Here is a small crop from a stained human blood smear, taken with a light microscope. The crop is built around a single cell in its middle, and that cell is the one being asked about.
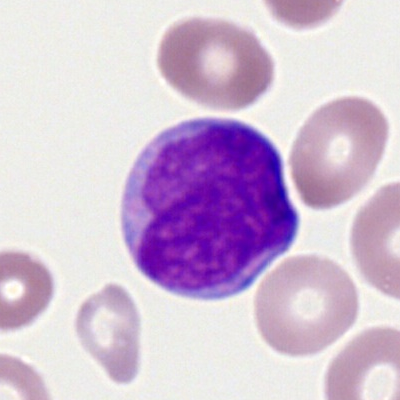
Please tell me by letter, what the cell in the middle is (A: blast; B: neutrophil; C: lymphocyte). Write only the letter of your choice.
A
